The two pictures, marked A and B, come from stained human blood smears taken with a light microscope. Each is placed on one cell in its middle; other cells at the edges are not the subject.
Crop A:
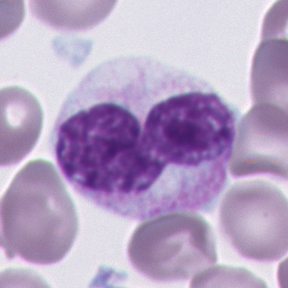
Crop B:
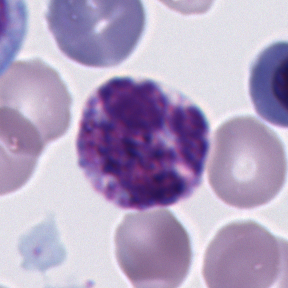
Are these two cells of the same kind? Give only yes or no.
no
